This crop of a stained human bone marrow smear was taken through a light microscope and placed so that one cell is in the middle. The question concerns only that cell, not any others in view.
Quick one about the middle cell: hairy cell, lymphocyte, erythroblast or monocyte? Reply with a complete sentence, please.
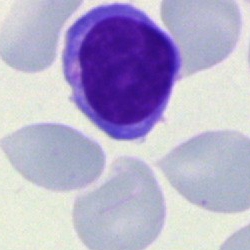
What sits at the centre of this crop is a lymphocyte.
